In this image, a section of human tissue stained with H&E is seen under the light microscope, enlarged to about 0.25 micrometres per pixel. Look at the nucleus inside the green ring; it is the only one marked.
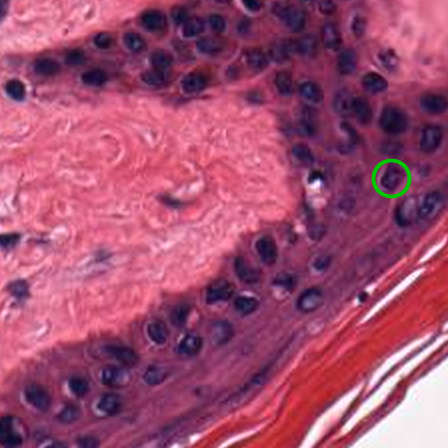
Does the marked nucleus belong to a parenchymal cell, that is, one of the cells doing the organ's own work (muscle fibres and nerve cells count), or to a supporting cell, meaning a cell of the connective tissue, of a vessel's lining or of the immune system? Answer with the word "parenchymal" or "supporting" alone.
parenchymal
